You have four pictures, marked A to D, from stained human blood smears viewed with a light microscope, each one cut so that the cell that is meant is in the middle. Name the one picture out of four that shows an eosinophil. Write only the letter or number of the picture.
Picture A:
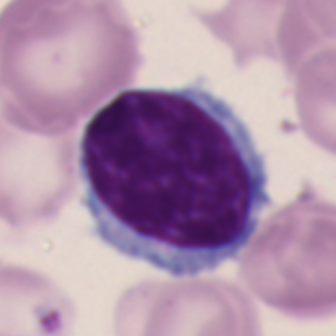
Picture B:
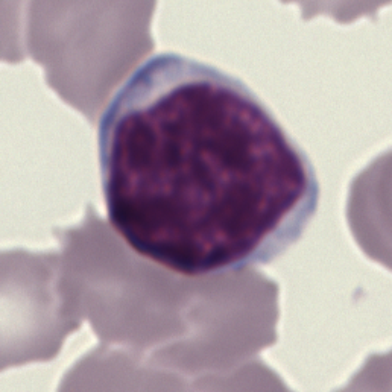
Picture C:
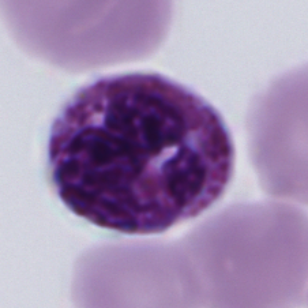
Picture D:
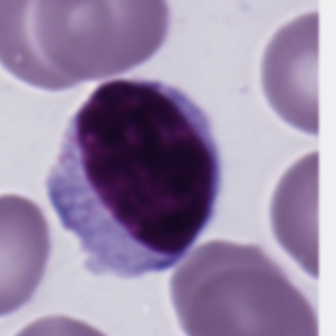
C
